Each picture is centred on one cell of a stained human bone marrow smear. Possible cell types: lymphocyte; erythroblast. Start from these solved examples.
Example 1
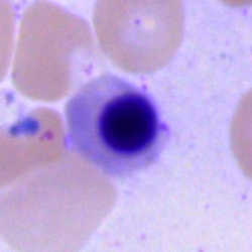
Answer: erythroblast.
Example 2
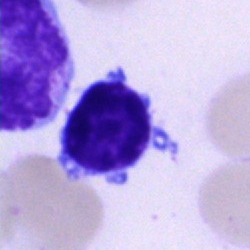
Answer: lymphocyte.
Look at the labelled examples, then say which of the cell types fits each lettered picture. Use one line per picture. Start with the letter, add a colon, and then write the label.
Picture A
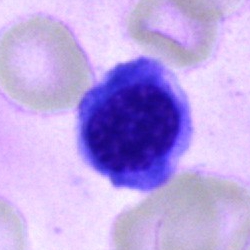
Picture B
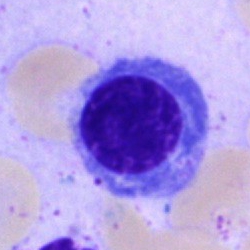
A: erythroblast.
B: erythroblast.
